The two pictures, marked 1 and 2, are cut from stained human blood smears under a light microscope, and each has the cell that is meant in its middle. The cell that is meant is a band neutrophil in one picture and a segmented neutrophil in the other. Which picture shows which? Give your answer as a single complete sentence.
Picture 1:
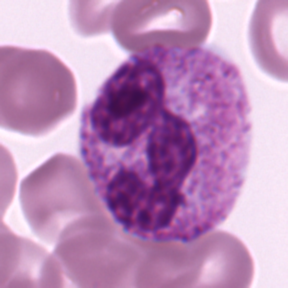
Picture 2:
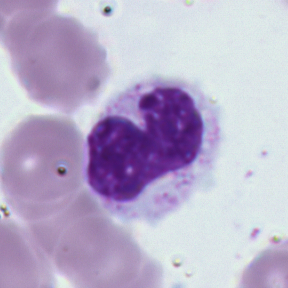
It is picture 1 that shows a segmented neutrophil, and picture 2 that shows a band neutrophil.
